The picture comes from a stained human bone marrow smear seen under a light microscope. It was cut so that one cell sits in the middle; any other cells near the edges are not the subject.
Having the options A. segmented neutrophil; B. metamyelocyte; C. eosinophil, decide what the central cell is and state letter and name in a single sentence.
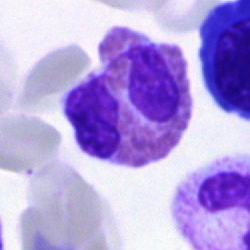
This one is option C, since the cell at the center is an eosinophil.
